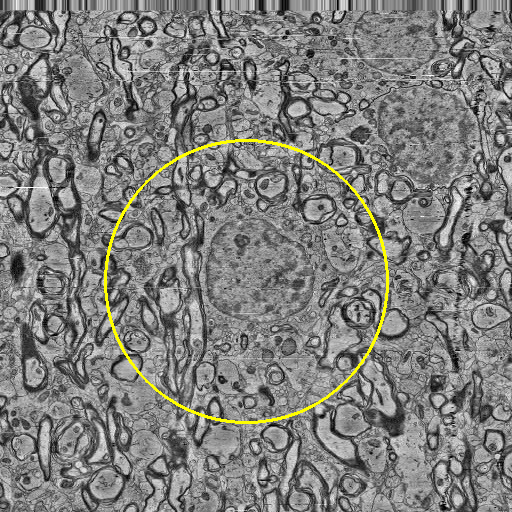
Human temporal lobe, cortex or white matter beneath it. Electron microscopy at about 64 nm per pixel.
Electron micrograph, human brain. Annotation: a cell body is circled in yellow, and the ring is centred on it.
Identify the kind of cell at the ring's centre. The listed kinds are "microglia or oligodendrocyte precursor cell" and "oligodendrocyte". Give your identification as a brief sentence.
The circled cell body is that of an oligodendrocyte.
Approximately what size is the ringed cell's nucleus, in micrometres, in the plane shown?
Approximately 7 micrometers across in this plane.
